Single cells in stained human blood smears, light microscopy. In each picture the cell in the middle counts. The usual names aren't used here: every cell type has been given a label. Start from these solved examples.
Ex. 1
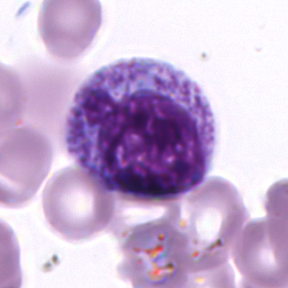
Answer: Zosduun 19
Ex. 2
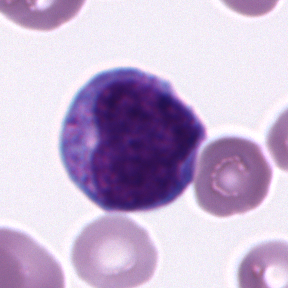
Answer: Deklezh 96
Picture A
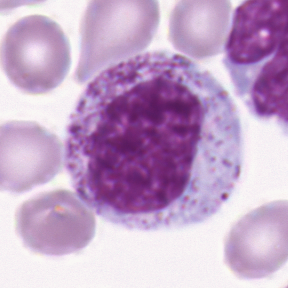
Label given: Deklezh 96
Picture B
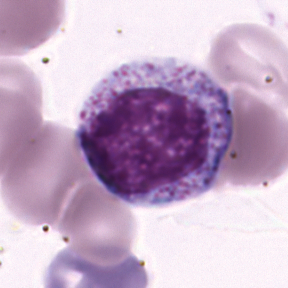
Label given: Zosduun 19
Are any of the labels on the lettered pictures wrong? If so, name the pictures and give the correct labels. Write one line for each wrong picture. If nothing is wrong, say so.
A should be Zosduun 19, not Deklezh 96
